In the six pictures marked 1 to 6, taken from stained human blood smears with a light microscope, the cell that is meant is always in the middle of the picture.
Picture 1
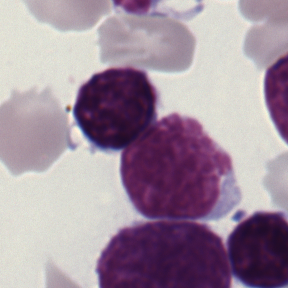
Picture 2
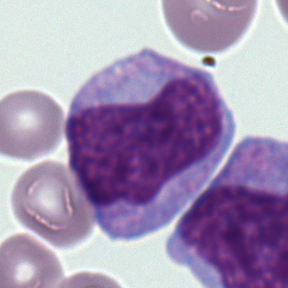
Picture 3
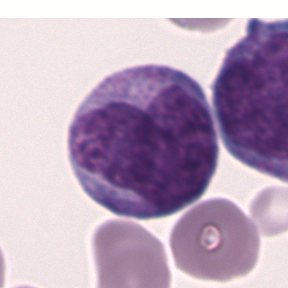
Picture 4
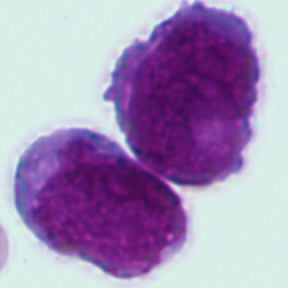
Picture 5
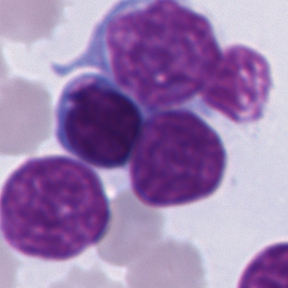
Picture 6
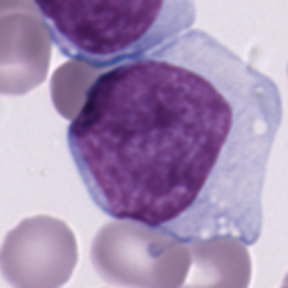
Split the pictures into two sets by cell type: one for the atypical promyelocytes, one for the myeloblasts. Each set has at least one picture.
1: myeloblast
2: atypical promyelocyte
3: atypical promyelocyte
4: atypical promyelocyte
5: myeloblast
6: myeloblast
